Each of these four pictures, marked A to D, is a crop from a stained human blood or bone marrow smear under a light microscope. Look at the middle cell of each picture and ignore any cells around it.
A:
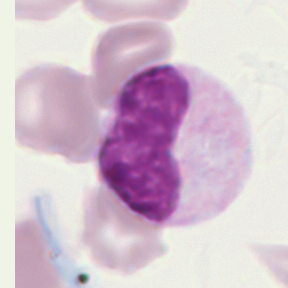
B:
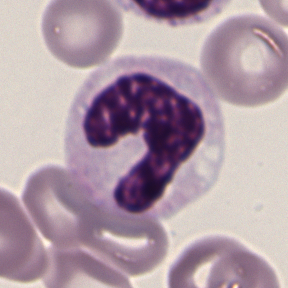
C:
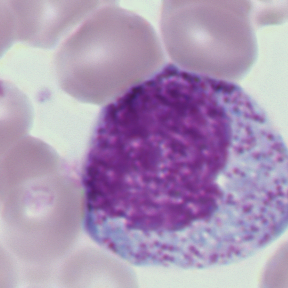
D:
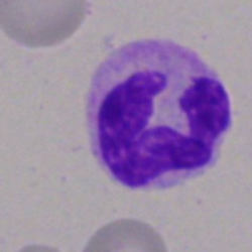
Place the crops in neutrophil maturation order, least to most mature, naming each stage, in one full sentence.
The order from least to most mature is crop C (a myelocyte), crop A (a metamyelocyte), crop B (a band neutrophil) and crop D (a segmented neutrophil).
